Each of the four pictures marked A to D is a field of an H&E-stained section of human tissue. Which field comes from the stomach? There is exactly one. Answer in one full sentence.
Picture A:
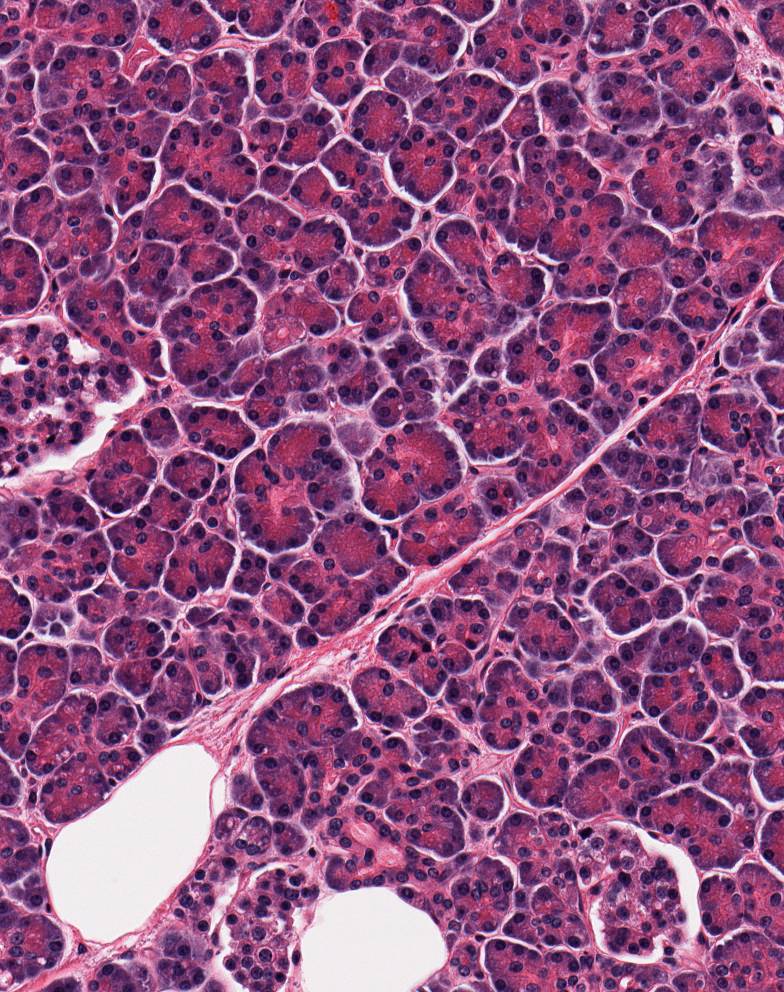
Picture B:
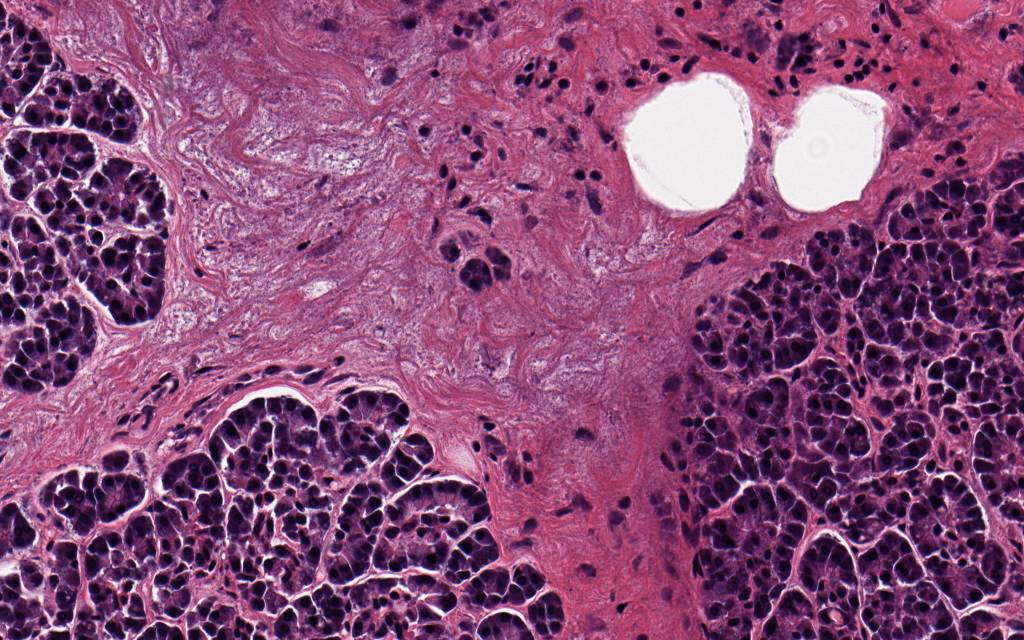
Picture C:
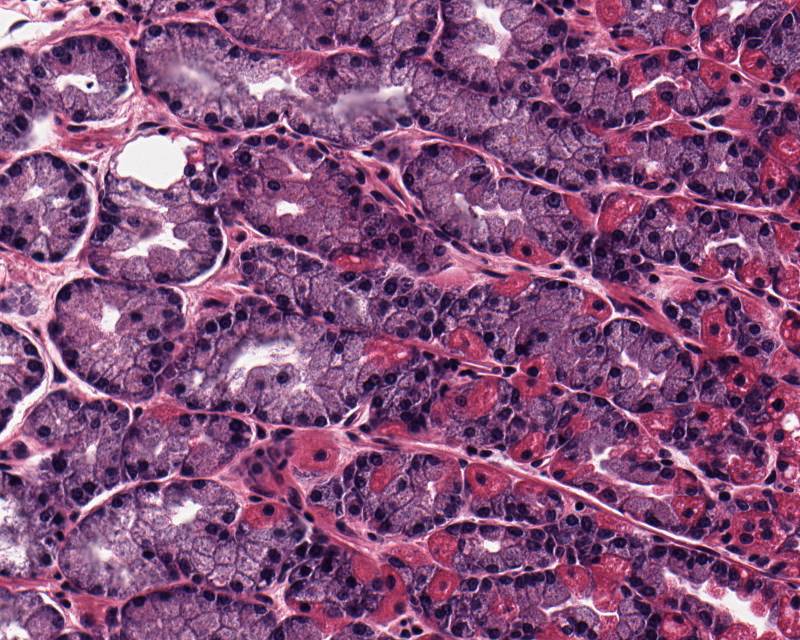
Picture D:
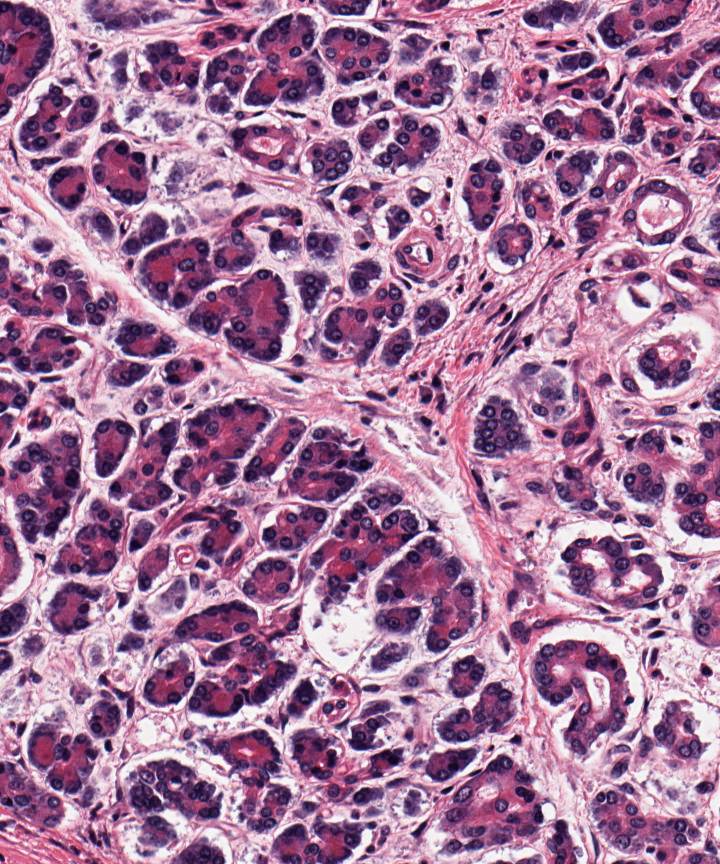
The one that comes from the stomach is picture C.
